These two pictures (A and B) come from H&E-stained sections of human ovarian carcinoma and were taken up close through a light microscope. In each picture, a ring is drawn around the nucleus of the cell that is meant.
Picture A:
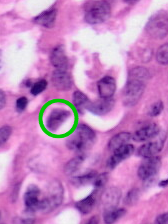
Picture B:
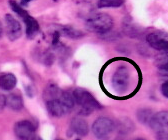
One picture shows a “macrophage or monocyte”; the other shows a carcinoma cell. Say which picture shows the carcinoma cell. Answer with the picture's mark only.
A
